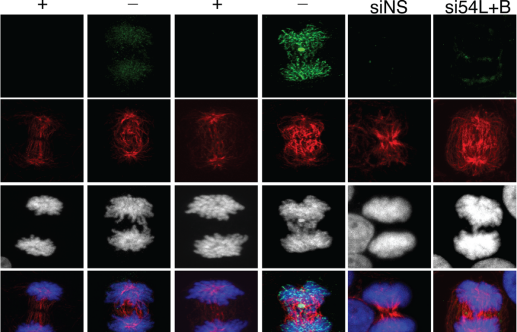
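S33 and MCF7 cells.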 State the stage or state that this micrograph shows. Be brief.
Anaphases.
